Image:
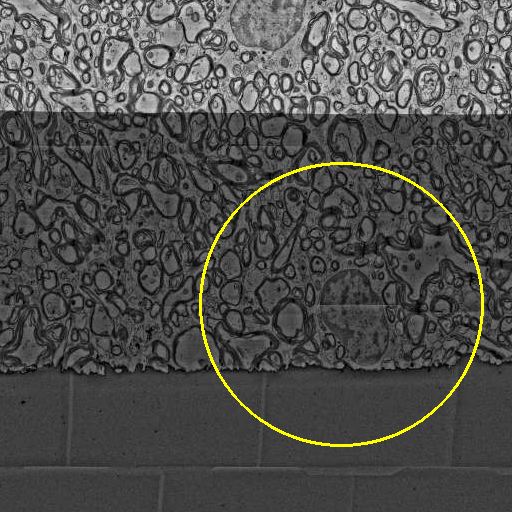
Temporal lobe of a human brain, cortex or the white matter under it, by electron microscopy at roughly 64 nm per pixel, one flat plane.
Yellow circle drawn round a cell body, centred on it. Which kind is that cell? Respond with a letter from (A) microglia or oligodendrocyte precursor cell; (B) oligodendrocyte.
A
